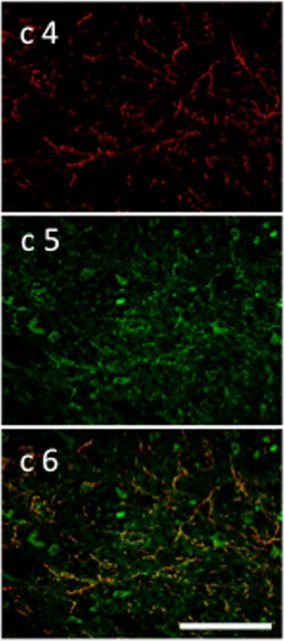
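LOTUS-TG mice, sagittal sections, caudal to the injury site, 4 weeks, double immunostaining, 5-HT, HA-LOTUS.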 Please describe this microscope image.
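This is spinal cord tissue crossed by thin nerve fibres. In red, slender beaded fibres with many small swellings run obliquely and branch, while the green image shows a fine diffuse meshwork with a few scattered rounded profiles. In the merged image many of the fibres appear yellow-orange, where the red and green signals coincide.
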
